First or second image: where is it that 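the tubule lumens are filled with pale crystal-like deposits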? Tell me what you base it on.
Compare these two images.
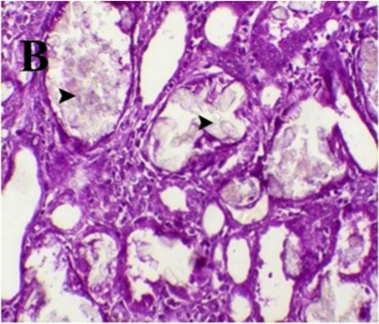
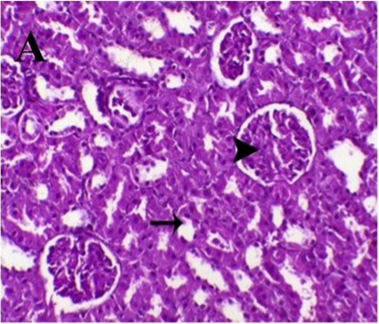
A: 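First image: large tubules are packed with pale grey granular deposits and have thin linings. Second image: tubules have small empty lumens and intact cuboidal linings.
Conclusion: the first image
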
